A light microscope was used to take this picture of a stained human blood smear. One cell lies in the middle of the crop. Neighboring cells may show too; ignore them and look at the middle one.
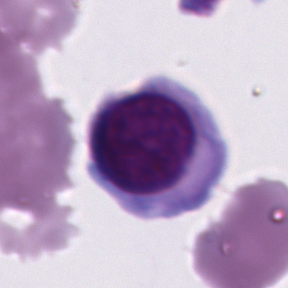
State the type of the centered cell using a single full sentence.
This crop is built around a hairy cell at its centre.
